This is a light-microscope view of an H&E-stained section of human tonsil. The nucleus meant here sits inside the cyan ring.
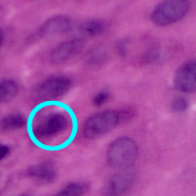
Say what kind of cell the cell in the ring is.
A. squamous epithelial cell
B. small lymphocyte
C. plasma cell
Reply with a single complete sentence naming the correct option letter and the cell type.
In this item, the cell in the ring is a squamous epithelial cell, and option A is right.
